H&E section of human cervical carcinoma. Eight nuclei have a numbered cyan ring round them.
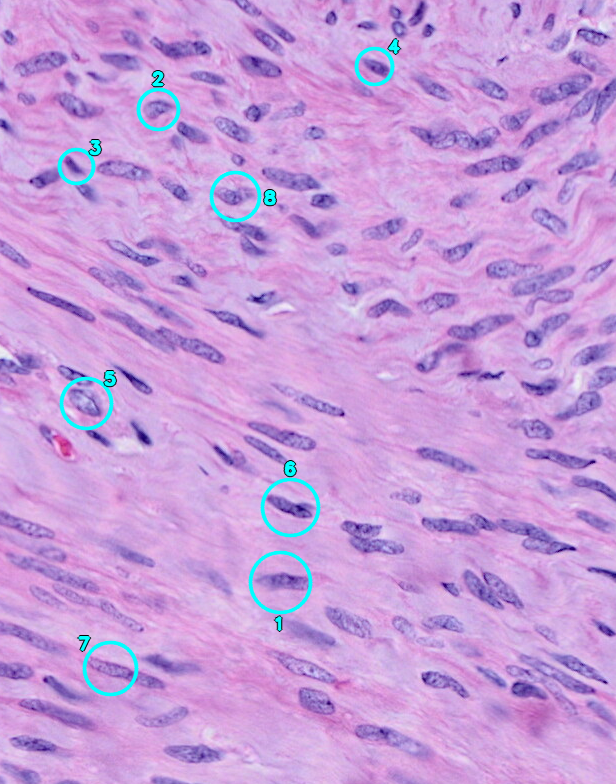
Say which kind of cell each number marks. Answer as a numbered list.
1. fibroblast
2. smooth muscle cell
3. smooth muscle cell
4. smooth muscle cell
5. endothelial cell
6. fibroblast
7. smooth muscle cell
8. smooth muscle cell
